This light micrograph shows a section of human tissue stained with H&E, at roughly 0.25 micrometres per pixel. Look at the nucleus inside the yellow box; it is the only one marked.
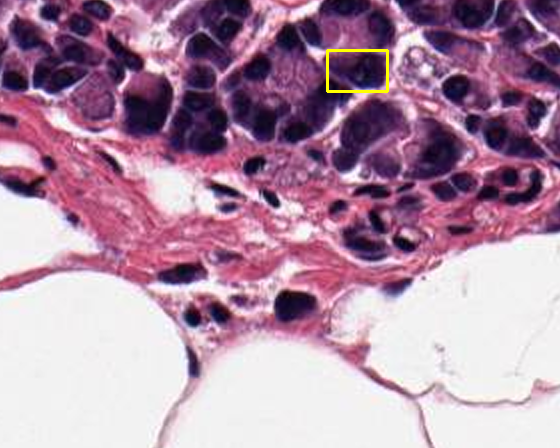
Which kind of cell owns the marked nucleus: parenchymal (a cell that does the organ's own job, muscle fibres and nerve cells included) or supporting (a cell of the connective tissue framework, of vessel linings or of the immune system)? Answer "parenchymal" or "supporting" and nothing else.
parenchymal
